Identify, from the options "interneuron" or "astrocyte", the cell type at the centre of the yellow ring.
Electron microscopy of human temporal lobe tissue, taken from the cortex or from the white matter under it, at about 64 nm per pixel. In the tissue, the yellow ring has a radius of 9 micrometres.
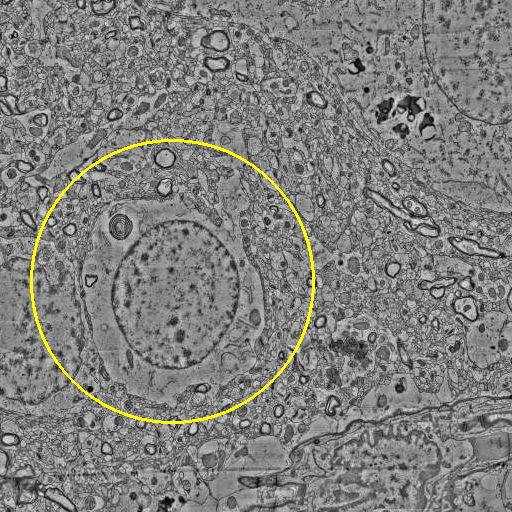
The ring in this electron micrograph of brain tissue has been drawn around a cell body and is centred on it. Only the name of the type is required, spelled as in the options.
astrocyte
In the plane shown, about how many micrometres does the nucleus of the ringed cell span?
Approximately 10 x 8 micrometres in this plane.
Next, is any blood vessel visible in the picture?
Yes, the picture includes a blood vessel.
